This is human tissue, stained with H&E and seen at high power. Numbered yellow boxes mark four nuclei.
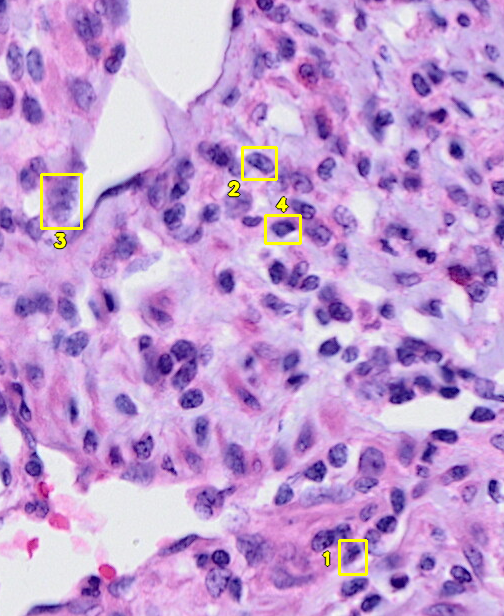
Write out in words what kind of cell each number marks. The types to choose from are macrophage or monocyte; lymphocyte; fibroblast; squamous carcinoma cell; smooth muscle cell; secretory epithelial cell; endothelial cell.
Cell 1 is a lymphocyte, cell 2 is a lymphocyte, cell 3 is an endothelial cell and cell 4 is a lymphocyte.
